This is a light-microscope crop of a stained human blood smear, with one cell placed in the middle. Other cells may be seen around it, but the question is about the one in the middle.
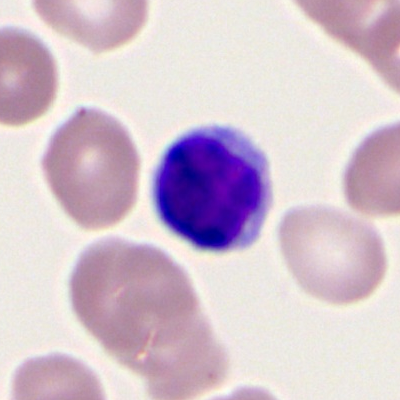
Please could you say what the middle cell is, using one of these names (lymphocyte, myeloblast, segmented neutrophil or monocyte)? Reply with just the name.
lymphocyte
